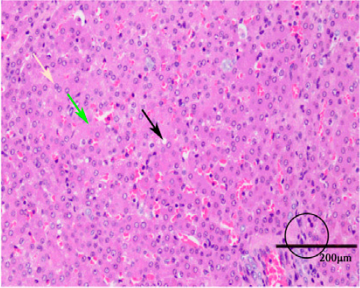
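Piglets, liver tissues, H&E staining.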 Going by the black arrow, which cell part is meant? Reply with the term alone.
Lipid droplets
